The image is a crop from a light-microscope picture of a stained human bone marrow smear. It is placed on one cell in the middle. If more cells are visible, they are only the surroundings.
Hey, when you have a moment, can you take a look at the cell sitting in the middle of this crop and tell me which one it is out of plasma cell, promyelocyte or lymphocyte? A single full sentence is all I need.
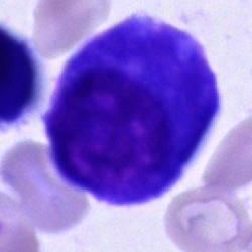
On this slide crop, the central cell is a plasma cell.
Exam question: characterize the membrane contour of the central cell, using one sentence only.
Edge check done: smooth outline, no projections present.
